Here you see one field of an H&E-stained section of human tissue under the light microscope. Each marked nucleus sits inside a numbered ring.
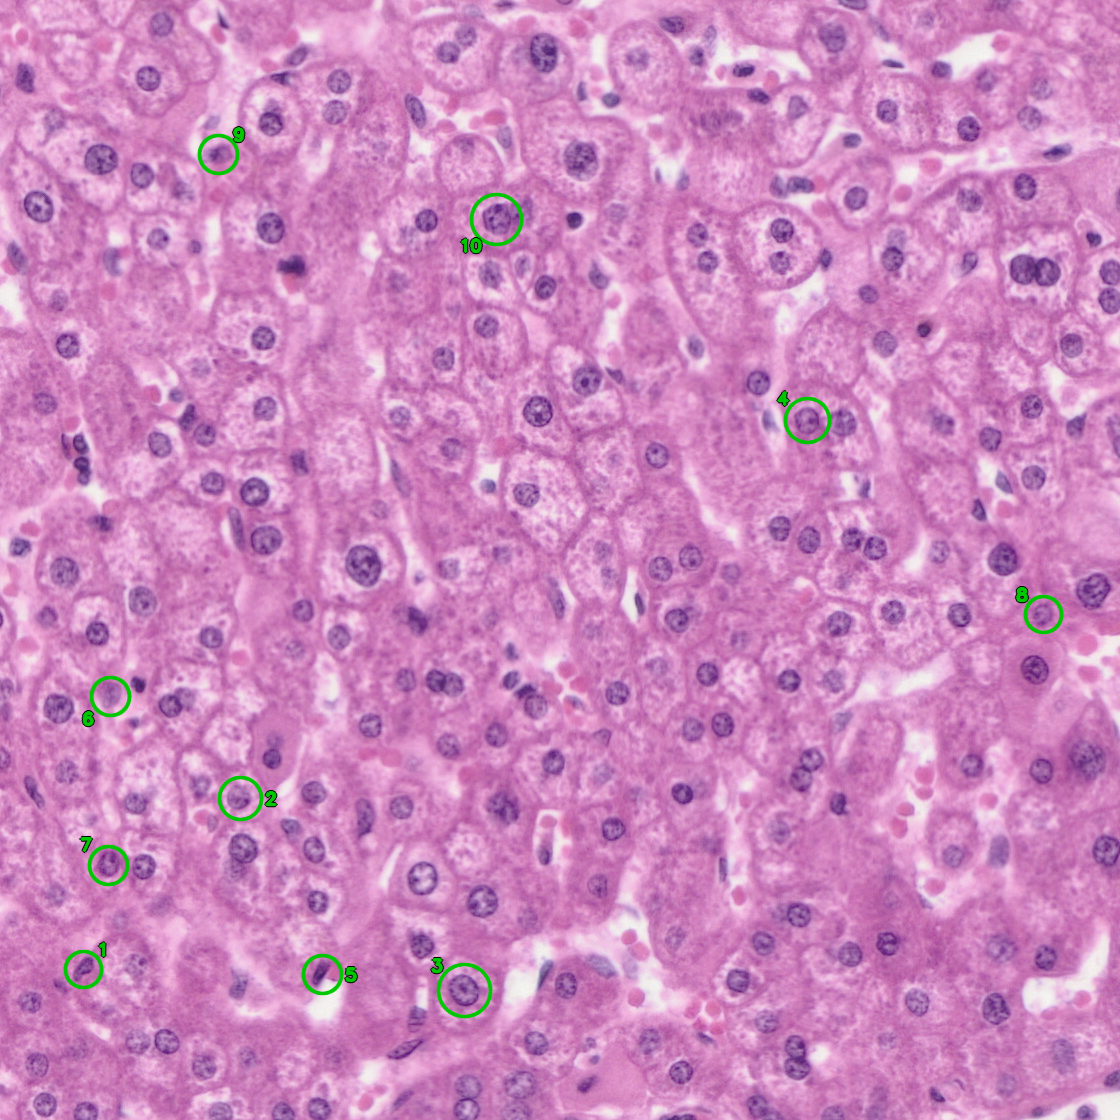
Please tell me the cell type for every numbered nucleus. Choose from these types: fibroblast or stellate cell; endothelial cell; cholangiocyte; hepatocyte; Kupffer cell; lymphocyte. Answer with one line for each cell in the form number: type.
1: fibroblast or stellate cell
2: hepatocyte
3: hepatocyte
4: hepatocyte
5: fibroblast or stellate cell
6: Kupffer cell
7: hepatocyte
8: hepatocyte
9: Kupffer cell
10: hepatocyte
